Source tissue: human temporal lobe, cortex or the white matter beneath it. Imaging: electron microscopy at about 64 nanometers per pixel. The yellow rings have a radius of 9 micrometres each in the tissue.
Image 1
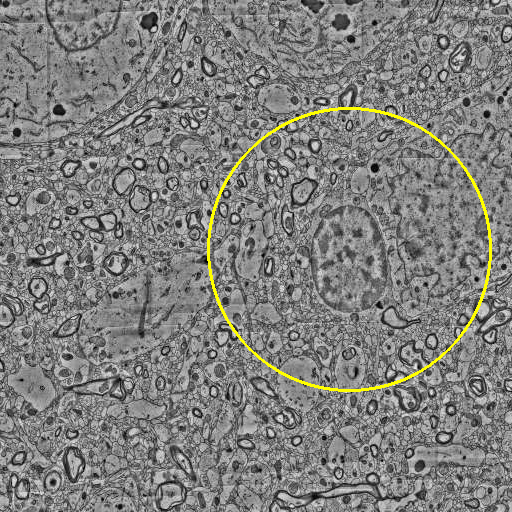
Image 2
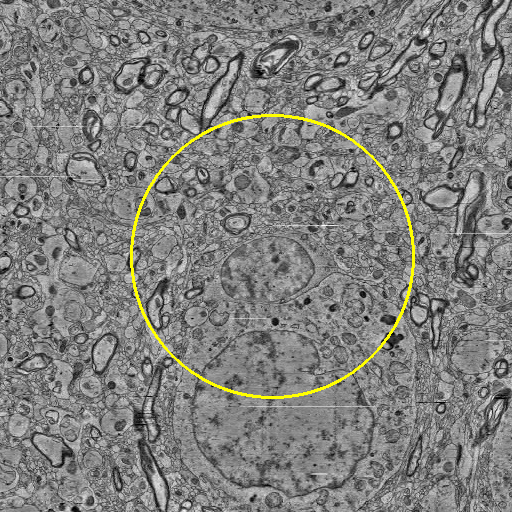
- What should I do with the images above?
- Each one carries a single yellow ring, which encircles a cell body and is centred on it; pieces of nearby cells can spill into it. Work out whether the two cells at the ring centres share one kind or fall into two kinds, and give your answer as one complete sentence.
The ring-centre cells of Image 1 and Image 2 share one kind.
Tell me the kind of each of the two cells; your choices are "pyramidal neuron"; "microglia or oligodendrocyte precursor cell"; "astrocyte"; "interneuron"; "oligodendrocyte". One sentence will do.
Both cells are the same kind, each one being an oligodendrocyte.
